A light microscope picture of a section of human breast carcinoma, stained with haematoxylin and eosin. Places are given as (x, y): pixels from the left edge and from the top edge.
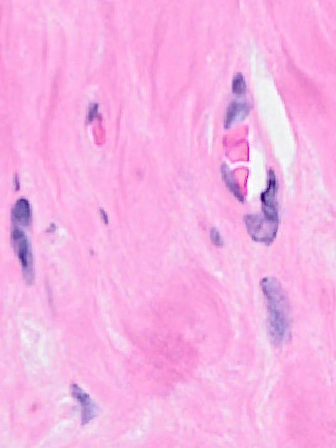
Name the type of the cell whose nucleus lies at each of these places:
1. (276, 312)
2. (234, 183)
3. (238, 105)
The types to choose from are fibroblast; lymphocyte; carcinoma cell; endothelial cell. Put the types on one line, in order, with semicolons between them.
fibroblast; endothelial cell; endothelial cell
